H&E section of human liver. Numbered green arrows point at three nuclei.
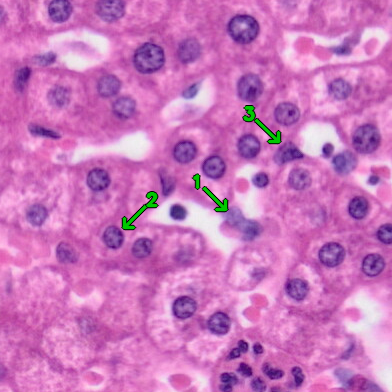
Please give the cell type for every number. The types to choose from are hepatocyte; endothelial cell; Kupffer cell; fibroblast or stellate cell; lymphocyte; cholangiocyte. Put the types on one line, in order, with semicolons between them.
Kupffer cell; hepatocyte; fibroblast or stellate cell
